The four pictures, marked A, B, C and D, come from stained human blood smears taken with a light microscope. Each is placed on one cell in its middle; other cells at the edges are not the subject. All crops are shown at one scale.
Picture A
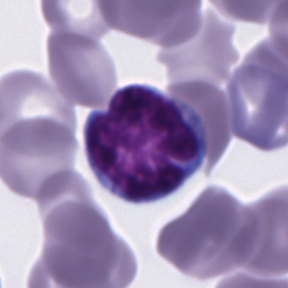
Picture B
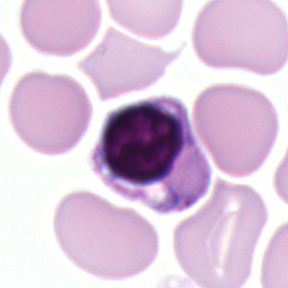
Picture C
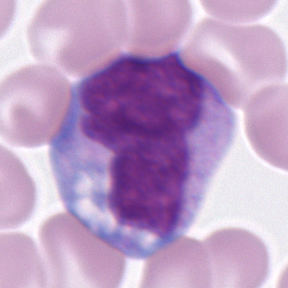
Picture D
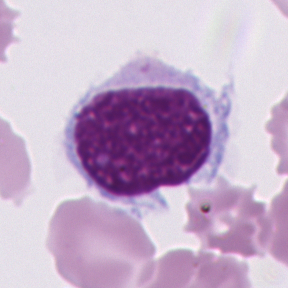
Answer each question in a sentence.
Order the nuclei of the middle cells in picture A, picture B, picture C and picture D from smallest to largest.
From the smallest up, the order is B, A, D, C.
